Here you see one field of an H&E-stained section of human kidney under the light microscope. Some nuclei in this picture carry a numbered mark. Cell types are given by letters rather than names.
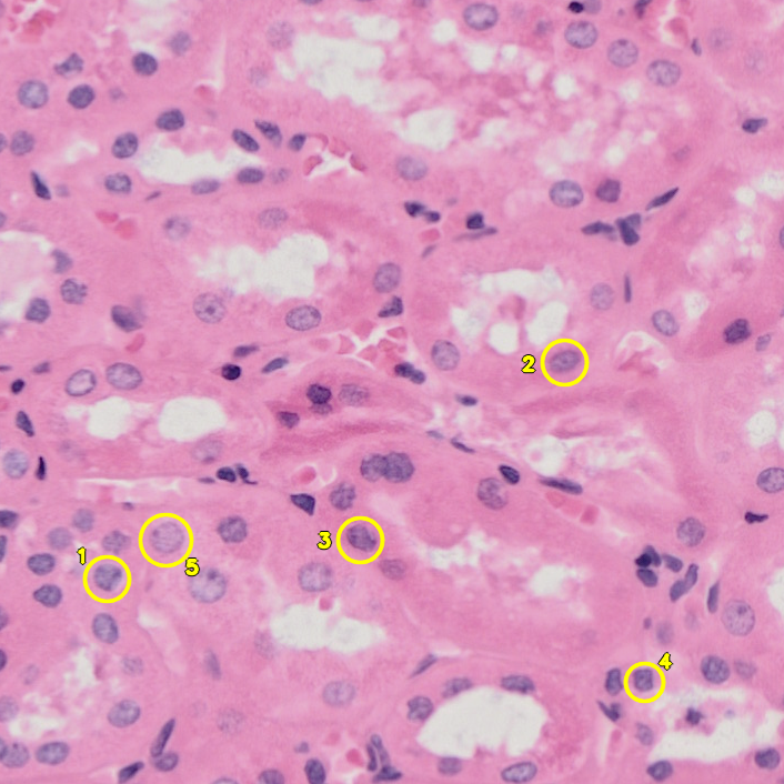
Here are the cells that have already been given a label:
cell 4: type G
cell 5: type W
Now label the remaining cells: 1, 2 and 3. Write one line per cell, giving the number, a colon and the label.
1: type G
2: type W
3: type W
